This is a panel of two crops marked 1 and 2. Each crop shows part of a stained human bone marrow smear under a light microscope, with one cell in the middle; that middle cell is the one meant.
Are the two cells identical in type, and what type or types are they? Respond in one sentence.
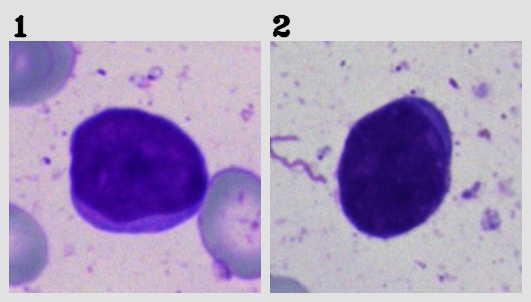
Yes, these two crops both show blasts.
